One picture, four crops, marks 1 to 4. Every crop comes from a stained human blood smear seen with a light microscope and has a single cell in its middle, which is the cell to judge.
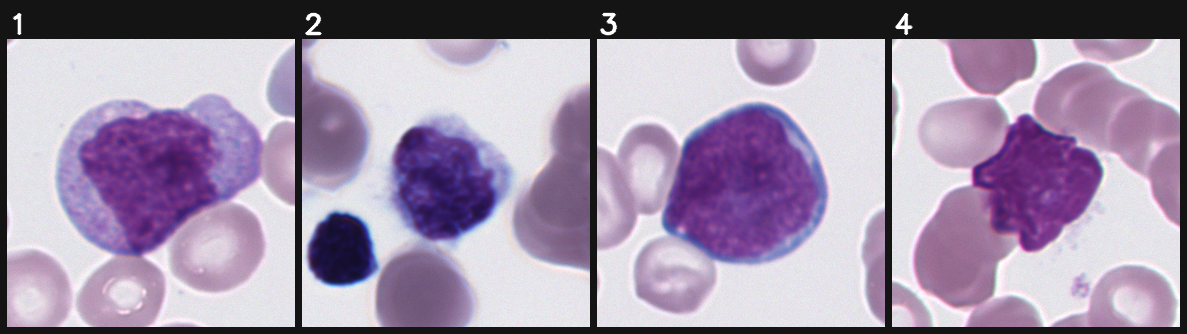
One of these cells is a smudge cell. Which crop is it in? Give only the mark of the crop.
4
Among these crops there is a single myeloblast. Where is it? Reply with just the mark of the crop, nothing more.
3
